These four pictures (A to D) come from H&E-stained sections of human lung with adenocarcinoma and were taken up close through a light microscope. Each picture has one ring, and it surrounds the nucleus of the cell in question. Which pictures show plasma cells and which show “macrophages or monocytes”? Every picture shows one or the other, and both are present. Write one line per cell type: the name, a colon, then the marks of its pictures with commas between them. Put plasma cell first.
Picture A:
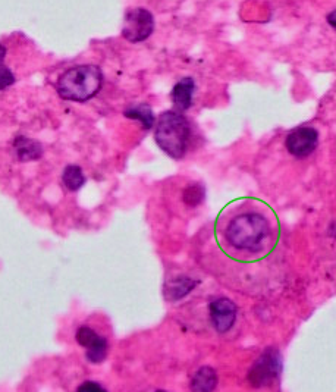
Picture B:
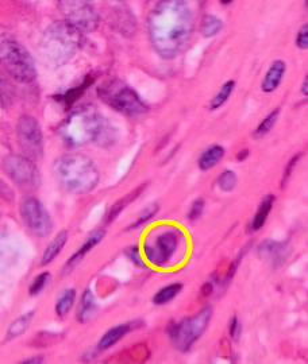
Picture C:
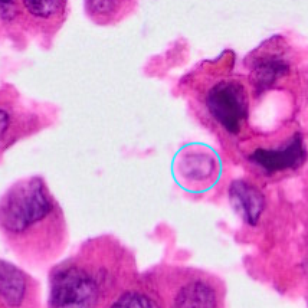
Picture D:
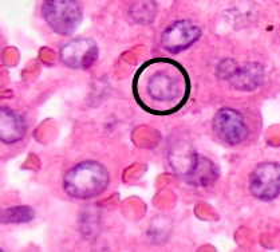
plasma cell: B
macrophage or monocyte: A, C, D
